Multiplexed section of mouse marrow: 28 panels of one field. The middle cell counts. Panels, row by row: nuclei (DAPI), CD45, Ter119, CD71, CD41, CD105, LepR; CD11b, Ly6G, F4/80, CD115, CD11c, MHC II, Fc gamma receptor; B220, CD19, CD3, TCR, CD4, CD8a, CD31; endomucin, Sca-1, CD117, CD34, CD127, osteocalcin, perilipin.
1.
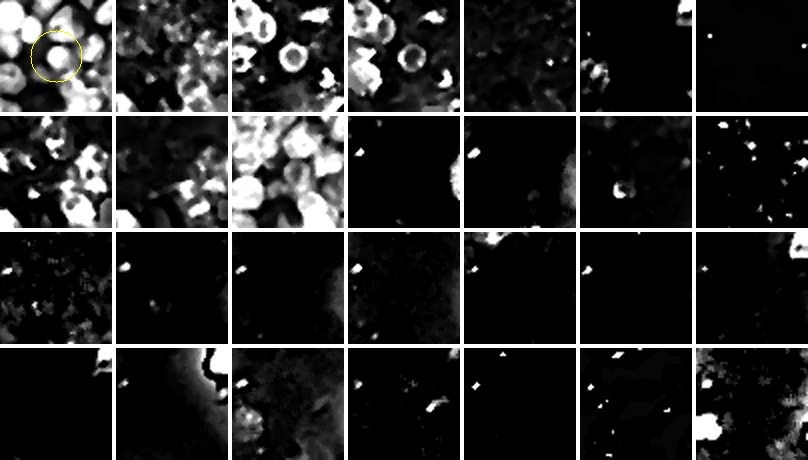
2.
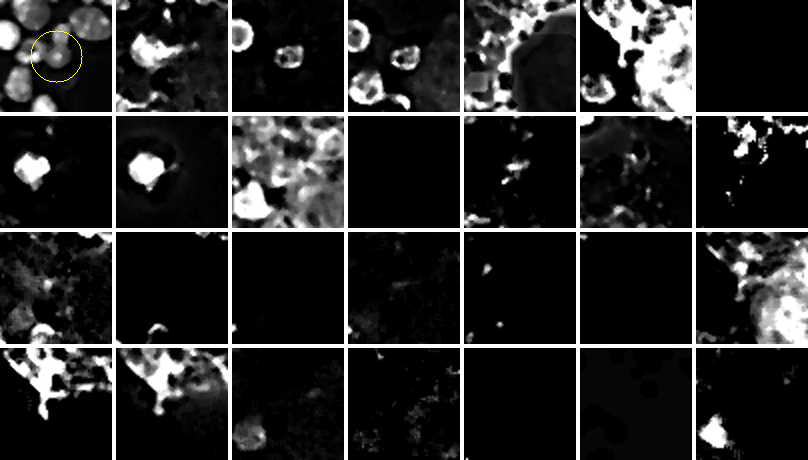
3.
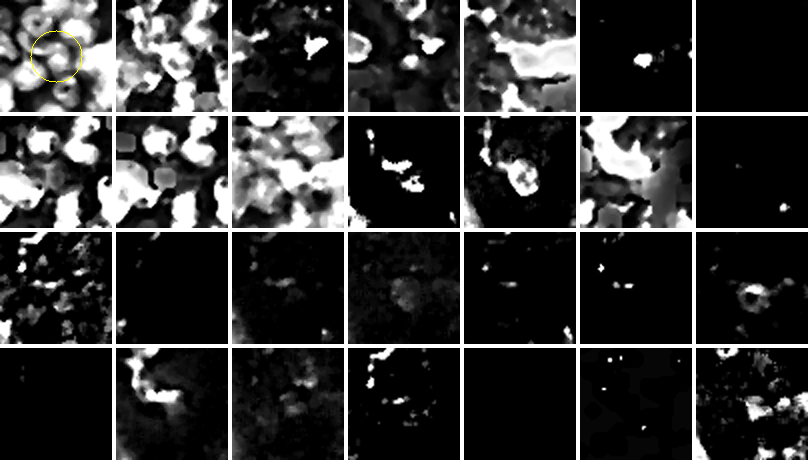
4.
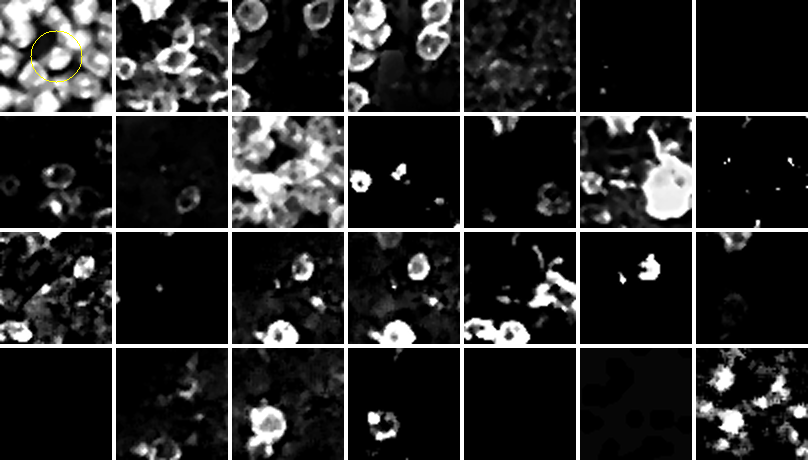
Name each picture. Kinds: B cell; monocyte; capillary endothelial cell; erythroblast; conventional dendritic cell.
Picture 1: erythroblast
Picture 2: capillary endothelial cell
Picture 3: conventional dendritic cell
Picture 4: monocyte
